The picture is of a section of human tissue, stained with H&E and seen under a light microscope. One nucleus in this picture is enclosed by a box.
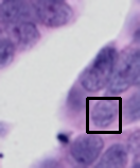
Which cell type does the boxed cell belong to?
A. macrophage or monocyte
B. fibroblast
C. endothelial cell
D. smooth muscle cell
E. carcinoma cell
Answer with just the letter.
E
